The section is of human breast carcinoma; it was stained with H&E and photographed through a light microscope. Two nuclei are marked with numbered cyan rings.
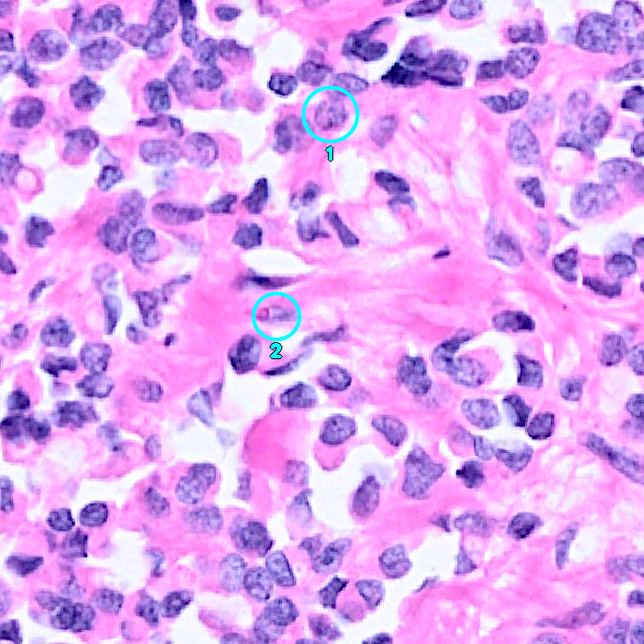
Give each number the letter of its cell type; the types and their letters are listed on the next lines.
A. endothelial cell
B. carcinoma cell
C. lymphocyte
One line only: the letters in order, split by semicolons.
B; A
